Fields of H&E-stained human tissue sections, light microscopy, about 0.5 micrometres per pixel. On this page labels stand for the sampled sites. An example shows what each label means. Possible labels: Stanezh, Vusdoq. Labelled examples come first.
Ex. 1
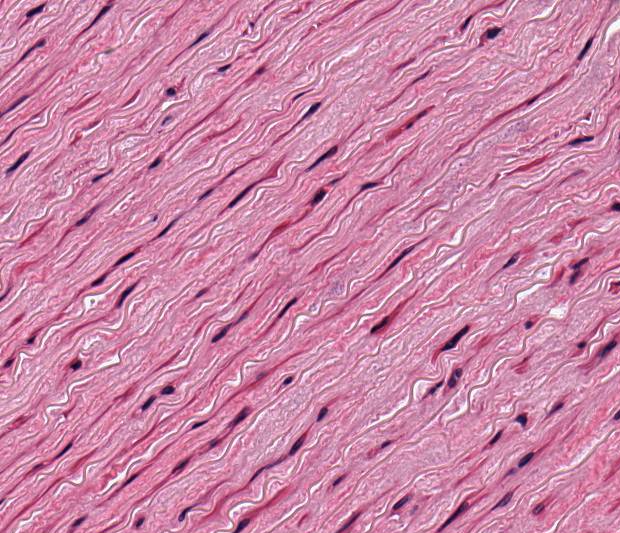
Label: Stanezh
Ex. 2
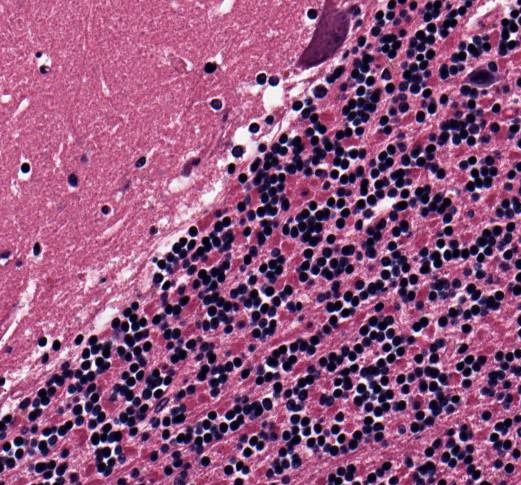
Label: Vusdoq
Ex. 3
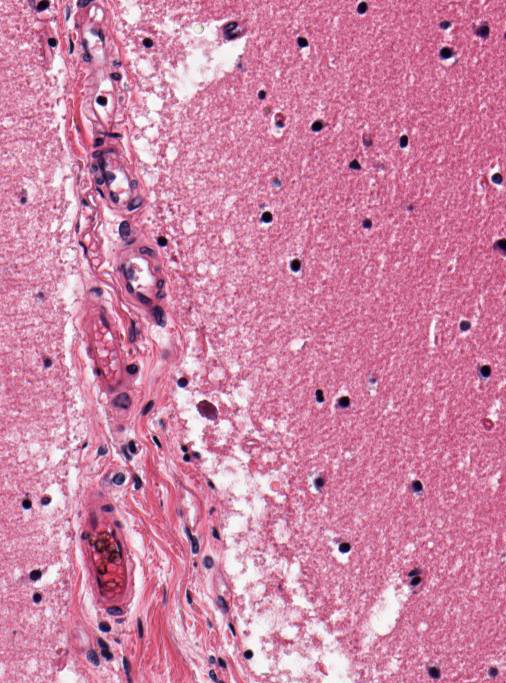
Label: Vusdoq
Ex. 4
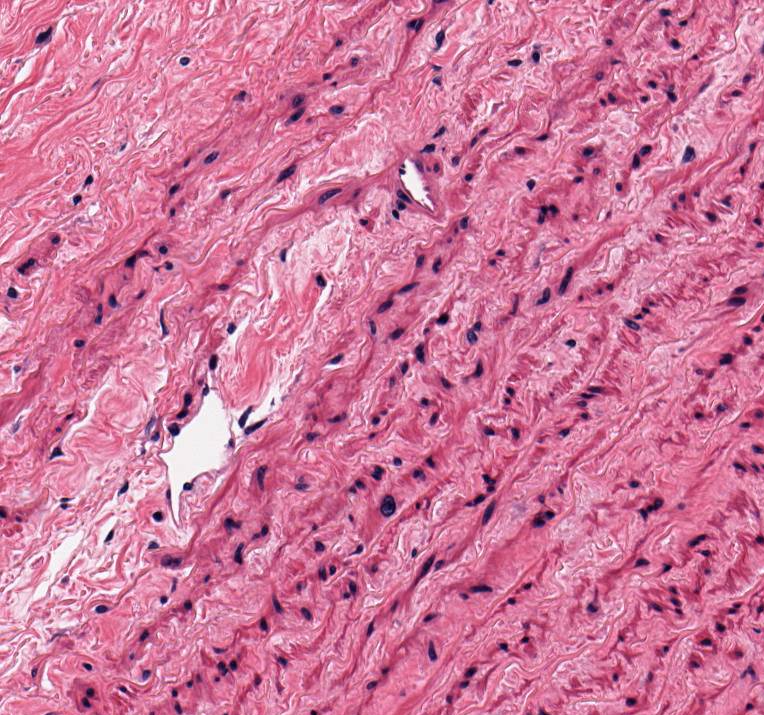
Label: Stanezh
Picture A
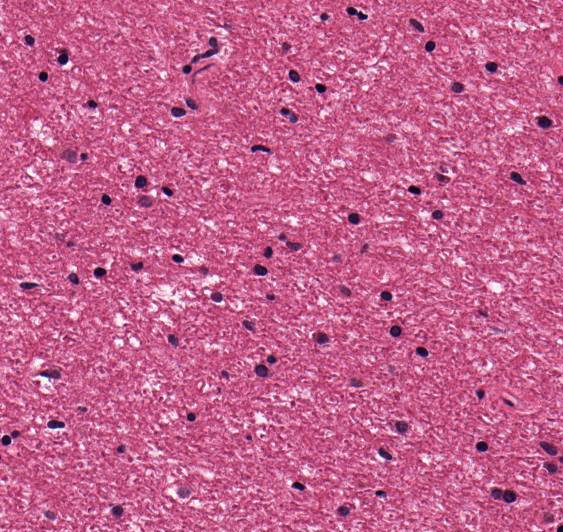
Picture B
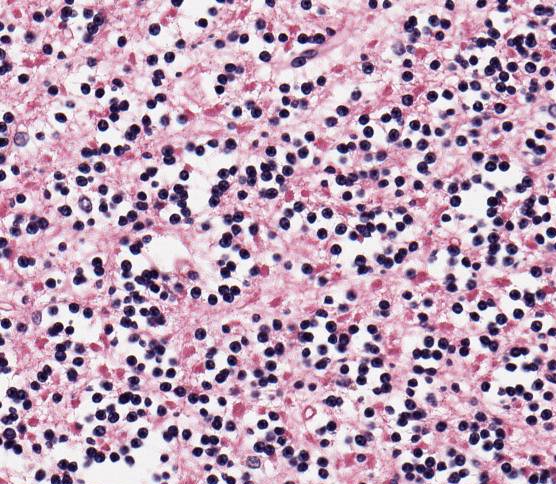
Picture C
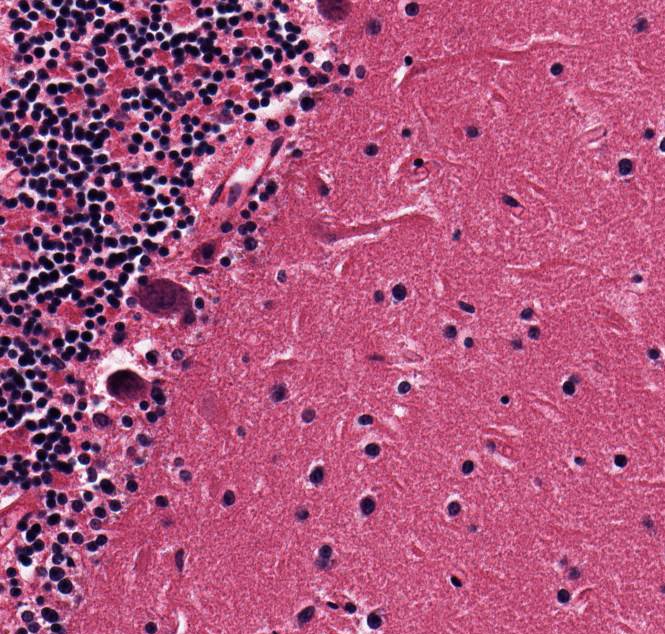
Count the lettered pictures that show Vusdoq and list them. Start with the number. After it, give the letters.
Count: 3 (A, B, C)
